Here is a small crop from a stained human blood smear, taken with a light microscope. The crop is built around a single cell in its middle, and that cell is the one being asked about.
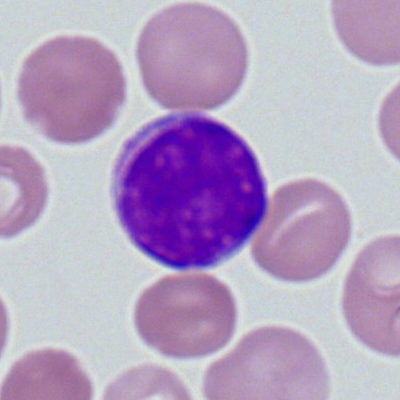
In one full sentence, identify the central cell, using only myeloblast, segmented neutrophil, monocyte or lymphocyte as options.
The central cell, amid any neighbouring cells, is a lymphocyte.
